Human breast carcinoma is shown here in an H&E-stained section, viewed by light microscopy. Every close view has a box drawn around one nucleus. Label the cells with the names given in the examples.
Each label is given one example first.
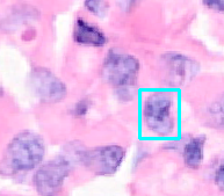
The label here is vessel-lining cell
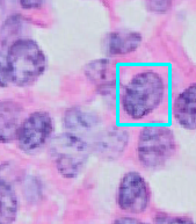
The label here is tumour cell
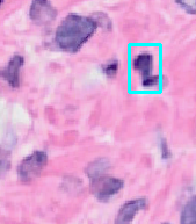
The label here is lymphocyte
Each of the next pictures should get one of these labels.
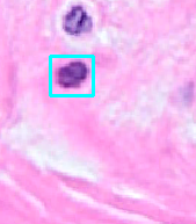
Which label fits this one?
lymphocyte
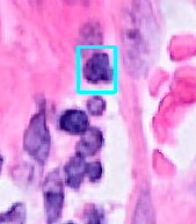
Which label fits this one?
lymphocyte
